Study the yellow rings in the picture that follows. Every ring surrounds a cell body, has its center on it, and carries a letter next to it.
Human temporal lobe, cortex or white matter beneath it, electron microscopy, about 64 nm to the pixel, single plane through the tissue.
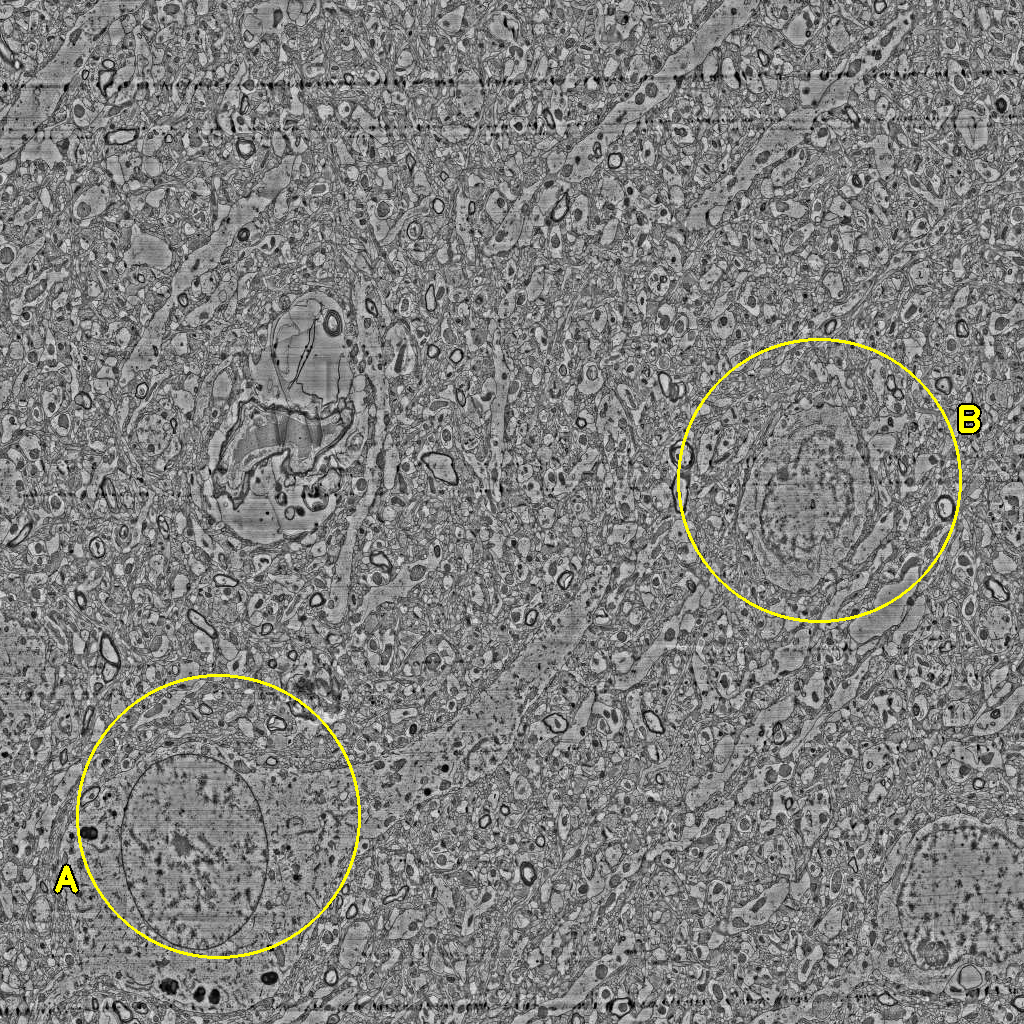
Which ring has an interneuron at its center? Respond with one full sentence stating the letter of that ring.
The ring centered on the cell asked for carries the letter B.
